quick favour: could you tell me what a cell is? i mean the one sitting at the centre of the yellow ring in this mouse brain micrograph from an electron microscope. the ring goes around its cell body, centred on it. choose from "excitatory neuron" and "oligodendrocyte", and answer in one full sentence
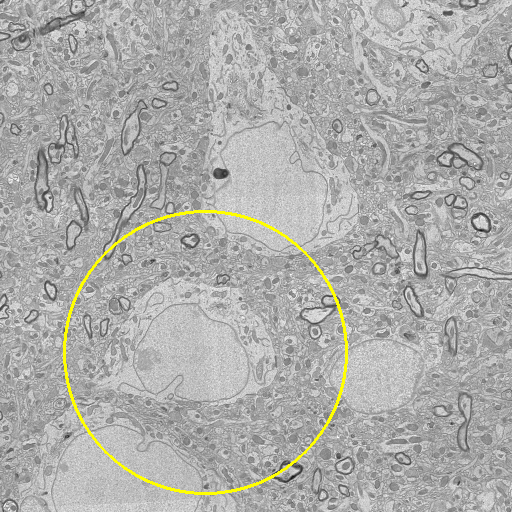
That's an excitatory neuron, the cell sitting at the centre of the yellow ring.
